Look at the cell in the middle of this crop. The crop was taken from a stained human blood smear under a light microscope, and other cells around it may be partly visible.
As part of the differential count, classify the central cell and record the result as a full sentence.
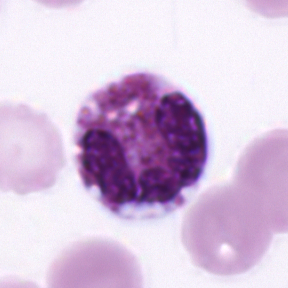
Whatever else lies nearby, the middle cell is an eosinophil.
